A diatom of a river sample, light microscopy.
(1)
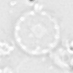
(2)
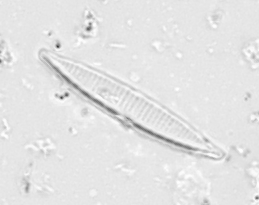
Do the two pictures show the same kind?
No: Thalassiosira, then Nitzschia.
